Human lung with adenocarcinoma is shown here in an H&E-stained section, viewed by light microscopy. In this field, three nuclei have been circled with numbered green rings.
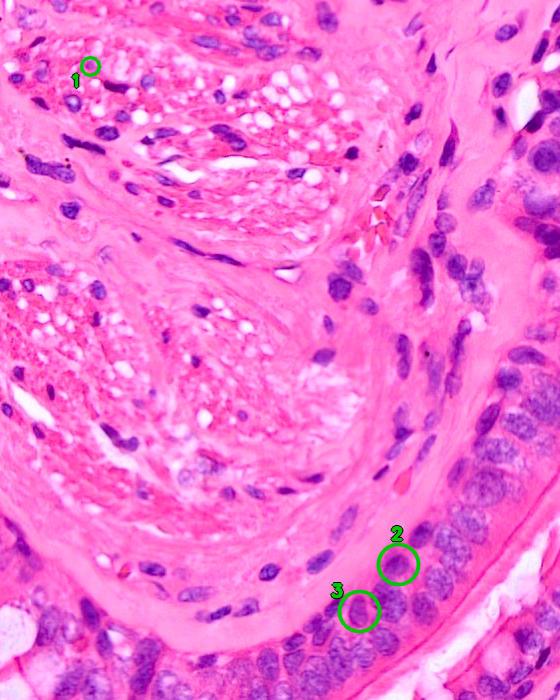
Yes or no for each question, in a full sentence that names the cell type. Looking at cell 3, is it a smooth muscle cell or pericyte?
No, cell 3 should be classed as a ciliated epithelial cell, not as a smooth muscle cell or pericyte.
